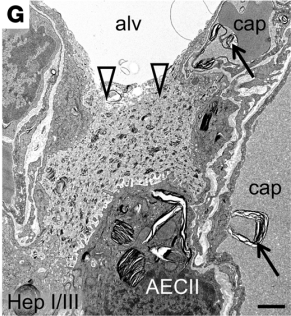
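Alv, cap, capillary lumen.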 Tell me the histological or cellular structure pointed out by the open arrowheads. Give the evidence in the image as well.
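A grey, finely granular layer lies on top of the epithelium facing the alveolar lumen. The arrowheads point at this layer. So: electron-dense alveolar liquid film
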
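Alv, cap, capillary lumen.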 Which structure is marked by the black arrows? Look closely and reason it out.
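The arrows point at bodies with stacked dark membrane lamellae. They lie within capillary lumina.
Conclusion: Lamellar lipid accumulations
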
